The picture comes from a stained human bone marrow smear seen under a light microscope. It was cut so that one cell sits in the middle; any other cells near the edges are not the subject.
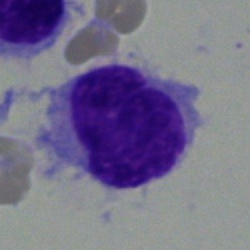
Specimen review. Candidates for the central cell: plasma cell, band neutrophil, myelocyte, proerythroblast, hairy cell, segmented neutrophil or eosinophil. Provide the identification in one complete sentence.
Seen at the centre of the crop is a hairy cell.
